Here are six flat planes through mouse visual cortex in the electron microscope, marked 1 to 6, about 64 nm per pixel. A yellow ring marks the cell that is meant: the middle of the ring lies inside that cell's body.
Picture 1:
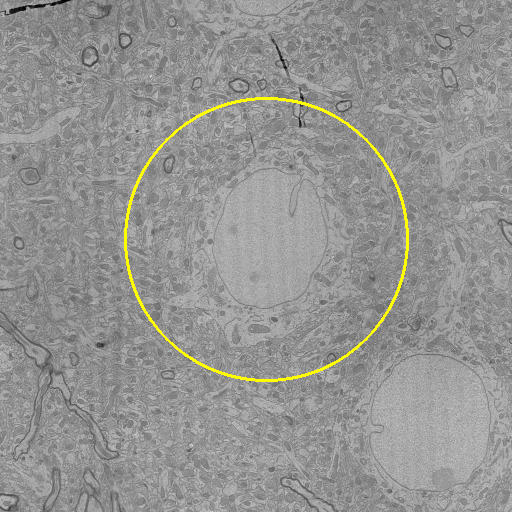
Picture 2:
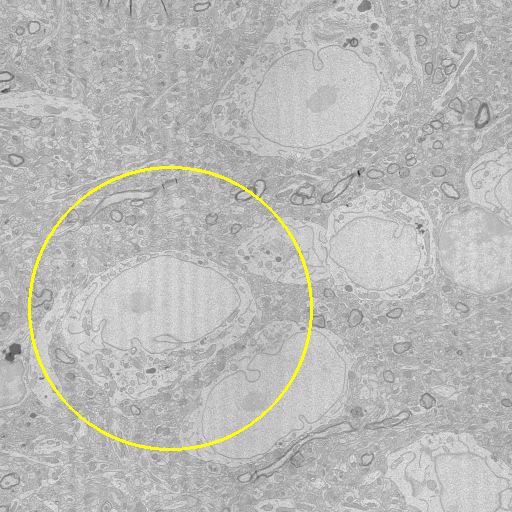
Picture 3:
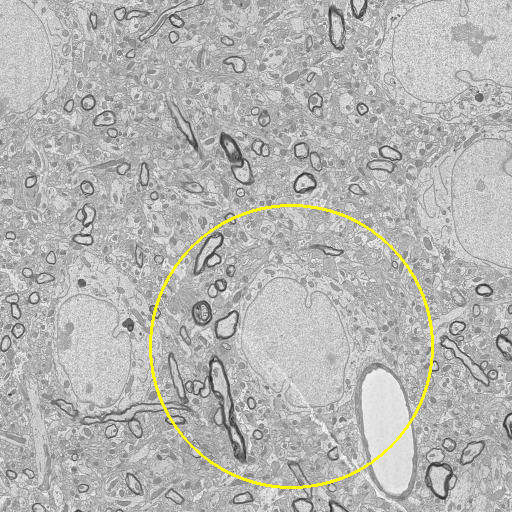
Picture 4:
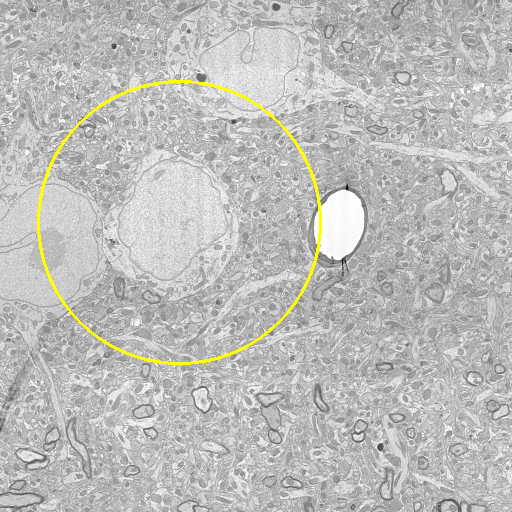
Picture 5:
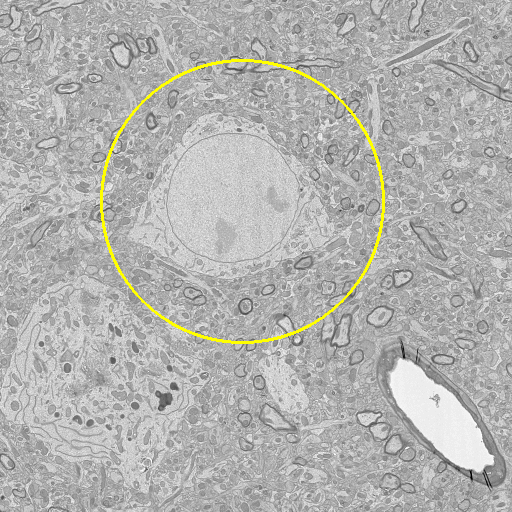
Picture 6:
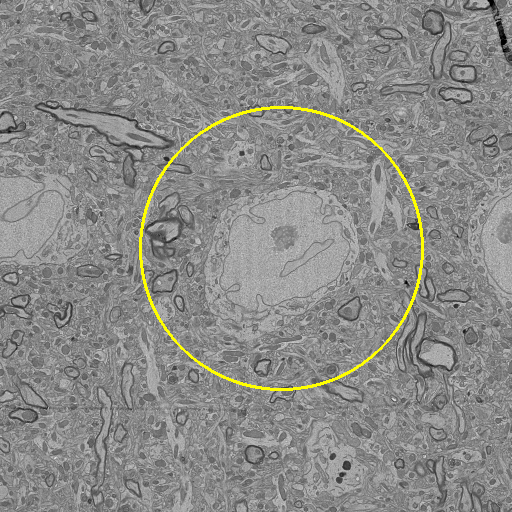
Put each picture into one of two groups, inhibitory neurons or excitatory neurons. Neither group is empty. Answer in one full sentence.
Pictures 2, 4 and 6 show inhibitory neurons, while pictures 1, 3 and 5 show excitatory neurons.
